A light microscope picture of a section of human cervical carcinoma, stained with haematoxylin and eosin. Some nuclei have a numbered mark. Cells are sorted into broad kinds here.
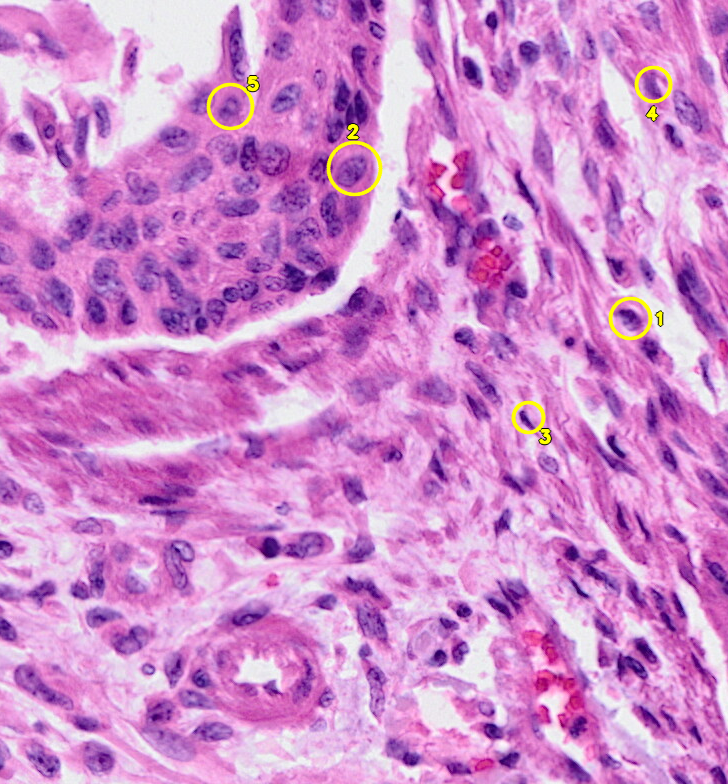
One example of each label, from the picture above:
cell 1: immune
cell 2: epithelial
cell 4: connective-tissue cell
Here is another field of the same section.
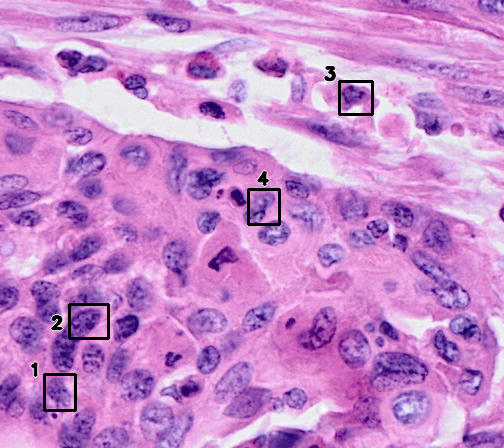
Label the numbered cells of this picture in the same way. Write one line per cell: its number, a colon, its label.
1: epithelial
2: epithelial
3: immune
4: epithelial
